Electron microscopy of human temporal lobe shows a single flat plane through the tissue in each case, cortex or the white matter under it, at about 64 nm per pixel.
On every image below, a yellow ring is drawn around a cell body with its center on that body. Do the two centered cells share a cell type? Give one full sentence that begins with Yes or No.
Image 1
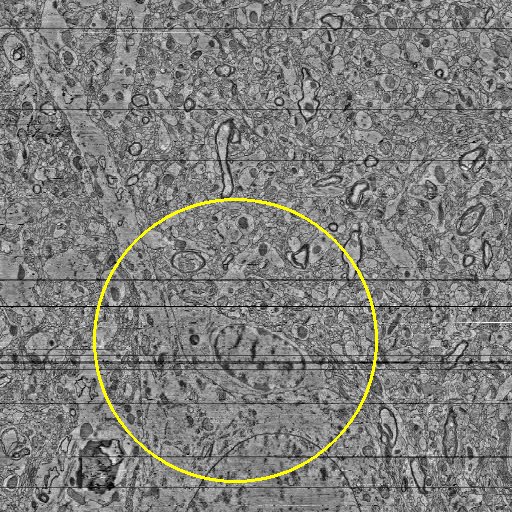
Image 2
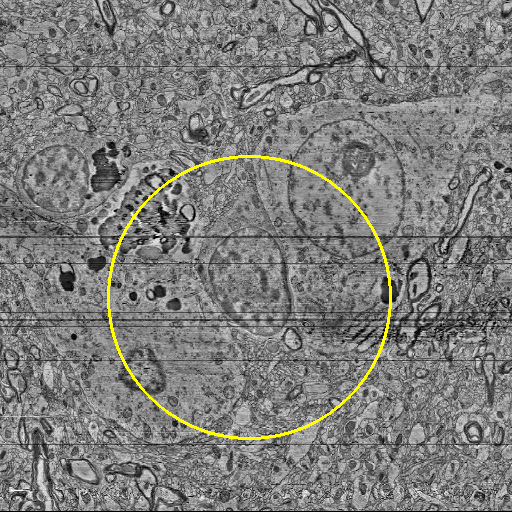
No, the centered cells in the two images are of two separate cell types.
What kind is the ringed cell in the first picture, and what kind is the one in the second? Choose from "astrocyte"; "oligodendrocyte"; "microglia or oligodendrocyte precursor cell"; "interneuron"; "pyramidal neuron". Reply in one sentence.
The first cell is a microglial cell or oligodendrocyte precursor cell; the second is an oligodendrocyte.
